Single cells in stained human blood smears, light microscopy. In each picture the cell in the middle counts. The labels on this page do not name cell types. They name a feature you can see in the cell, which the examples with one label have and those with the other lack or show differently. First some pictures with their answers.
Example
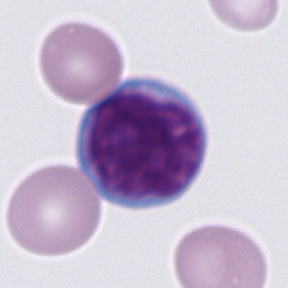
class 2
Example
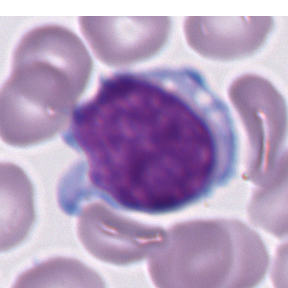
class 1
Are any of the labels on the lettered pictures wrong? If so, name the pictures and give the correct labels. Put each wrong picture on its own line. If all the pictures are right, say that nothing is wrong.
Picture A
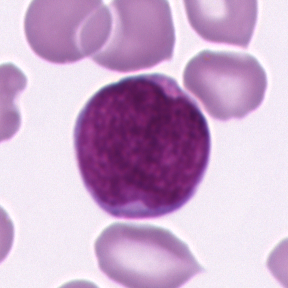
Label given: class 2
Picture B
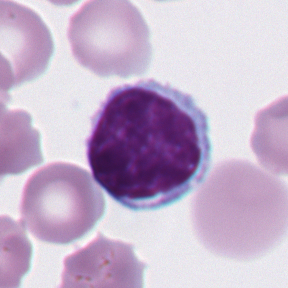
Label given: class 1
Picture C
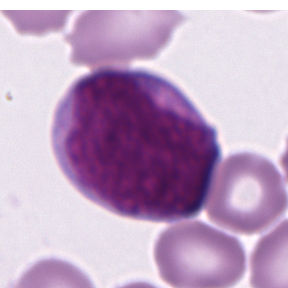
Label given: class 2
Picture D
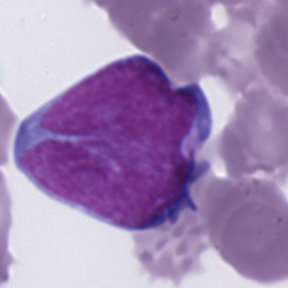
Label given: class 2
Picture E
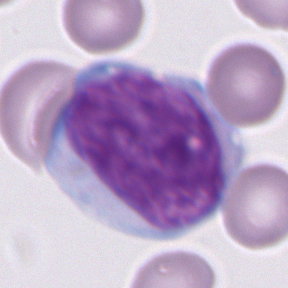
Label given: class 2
Wrong: D (class 2); correct: class 1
